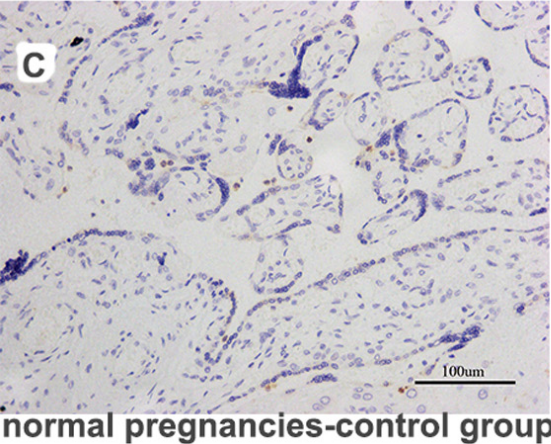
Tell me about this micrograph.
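Placental villi of varying size with loose stromal cores are covered by a thin layer of trophoblast cells whose nuclei stain blue. Knots of crowded dark nuclei protrude from several villous surfaces, and brown staining is almost absent throughout. This is villous placenta with little brown stain in its trophoblast covering.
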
